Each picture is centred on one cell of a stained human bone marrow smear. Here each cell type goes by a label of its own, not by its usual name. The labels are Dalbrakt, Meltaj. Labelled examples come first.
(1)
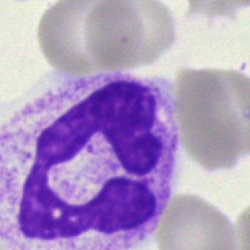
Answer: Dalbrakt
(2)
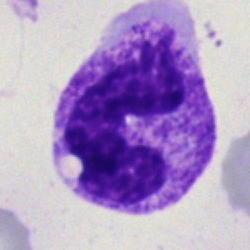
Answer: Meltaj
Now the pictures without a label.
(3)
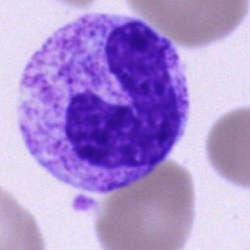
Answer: Meltaj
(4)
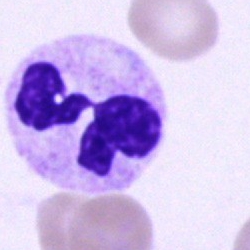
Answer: Dalbrakt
